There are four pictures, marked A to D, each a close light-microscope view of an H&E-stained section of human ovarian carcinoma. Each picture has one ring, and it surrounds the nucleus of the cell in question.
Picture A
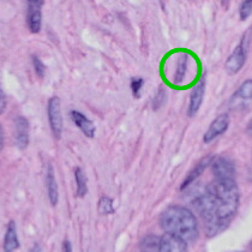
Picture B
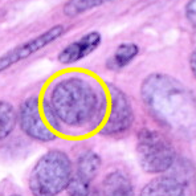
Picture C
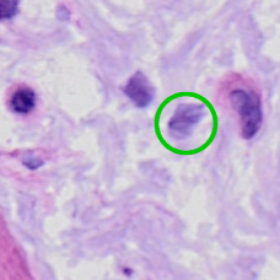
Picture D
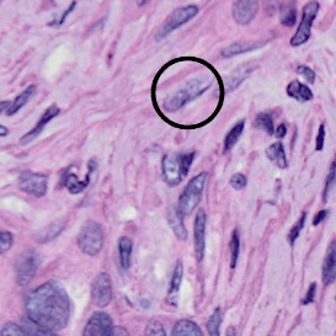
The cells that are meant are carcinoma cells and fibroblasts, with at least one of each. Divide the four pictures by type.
A: fibroblast
B: carcinoma cell
C: fibroblast
D: fibroblast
